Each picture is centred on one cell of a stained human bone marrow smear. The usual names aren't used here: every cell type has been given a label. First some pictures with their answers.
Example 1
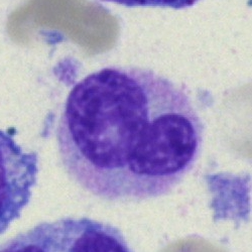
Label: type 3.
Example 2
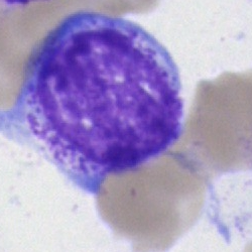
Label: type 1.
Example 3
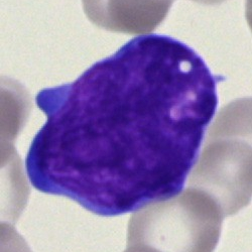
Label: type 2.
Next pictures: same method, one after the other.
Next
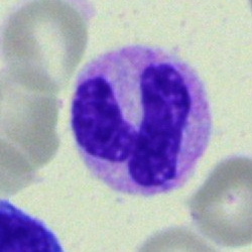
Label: type 3.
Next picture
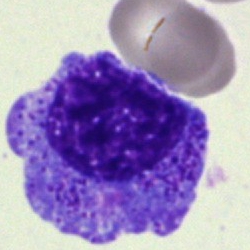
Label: type 1.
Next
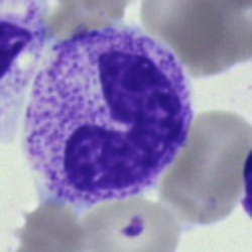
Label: type 3.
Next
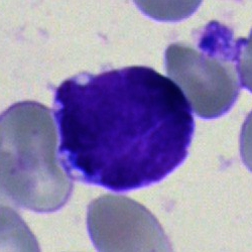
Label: type 2.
